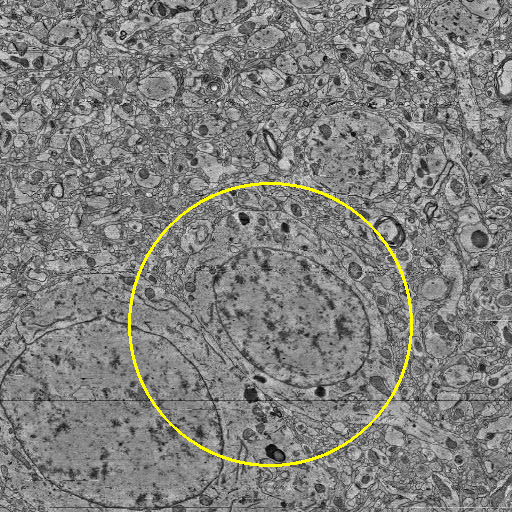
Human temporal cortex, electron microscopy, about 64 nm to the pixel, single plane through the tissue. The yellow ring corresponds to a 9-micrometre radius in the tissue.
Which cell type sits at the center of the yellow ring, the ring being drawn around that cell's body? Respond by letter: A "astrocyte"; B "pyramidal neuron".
B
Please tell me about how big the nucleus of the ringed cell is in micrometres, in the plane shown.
Approximately 11 x 8 micrometres in this plane.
